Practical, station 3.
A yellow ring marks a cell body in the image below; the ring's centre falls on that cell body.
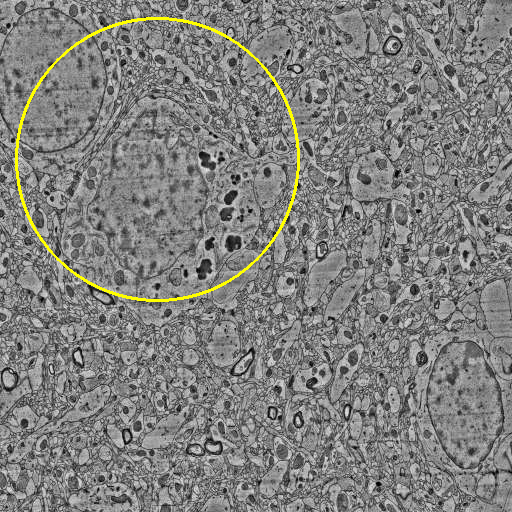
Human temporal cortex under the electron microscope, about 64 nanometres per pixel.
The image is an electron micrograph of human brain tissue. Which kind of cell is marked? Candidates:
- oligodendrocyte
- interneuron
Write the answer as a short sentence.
The marked cell body is that of an interneuron.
